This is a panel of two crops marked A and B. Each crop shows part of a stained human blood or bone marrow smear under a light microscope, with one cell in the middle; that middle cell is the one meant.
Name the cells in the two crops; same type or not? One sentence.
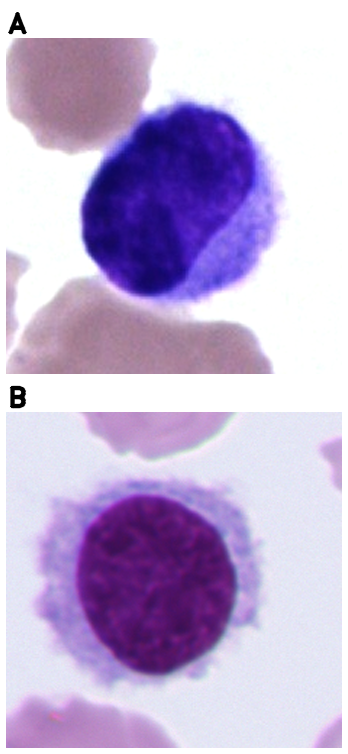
Yes, the same answer goes for both crops, namely hairy cells.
